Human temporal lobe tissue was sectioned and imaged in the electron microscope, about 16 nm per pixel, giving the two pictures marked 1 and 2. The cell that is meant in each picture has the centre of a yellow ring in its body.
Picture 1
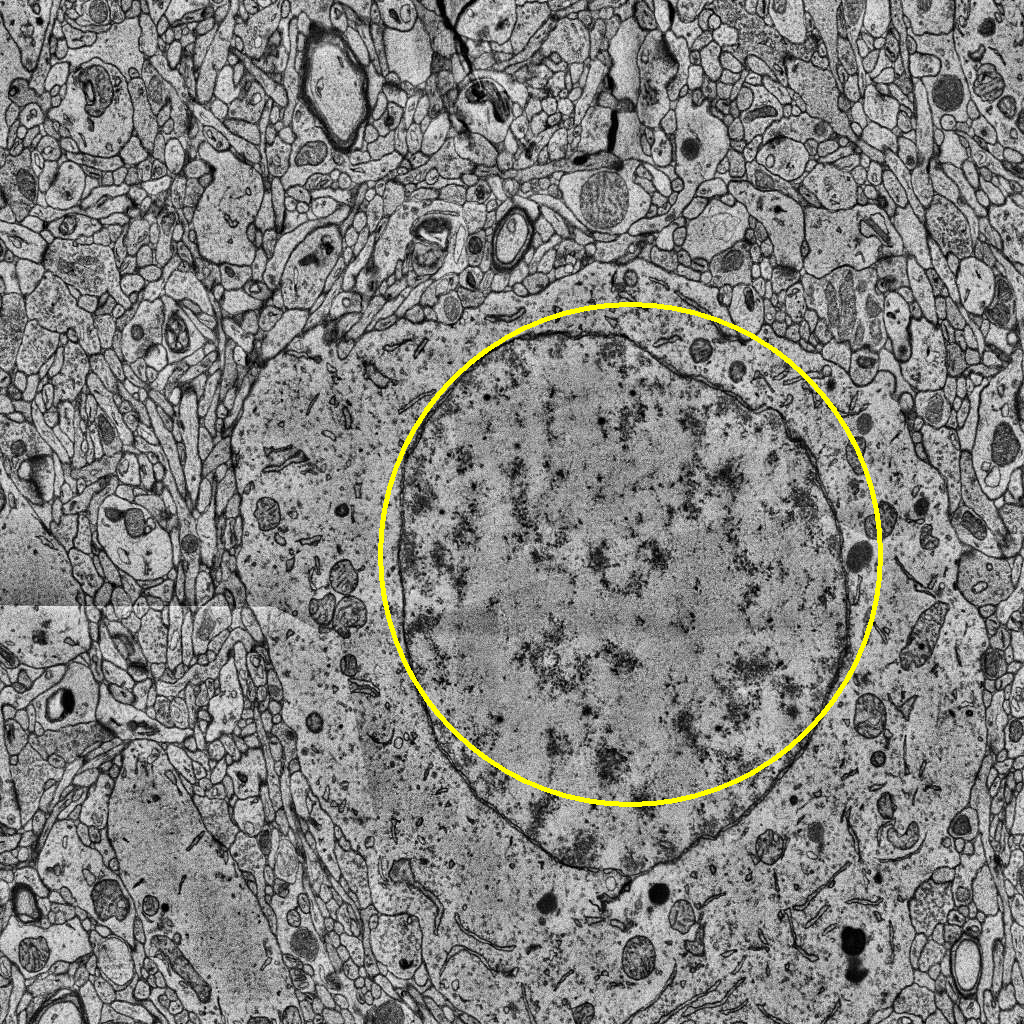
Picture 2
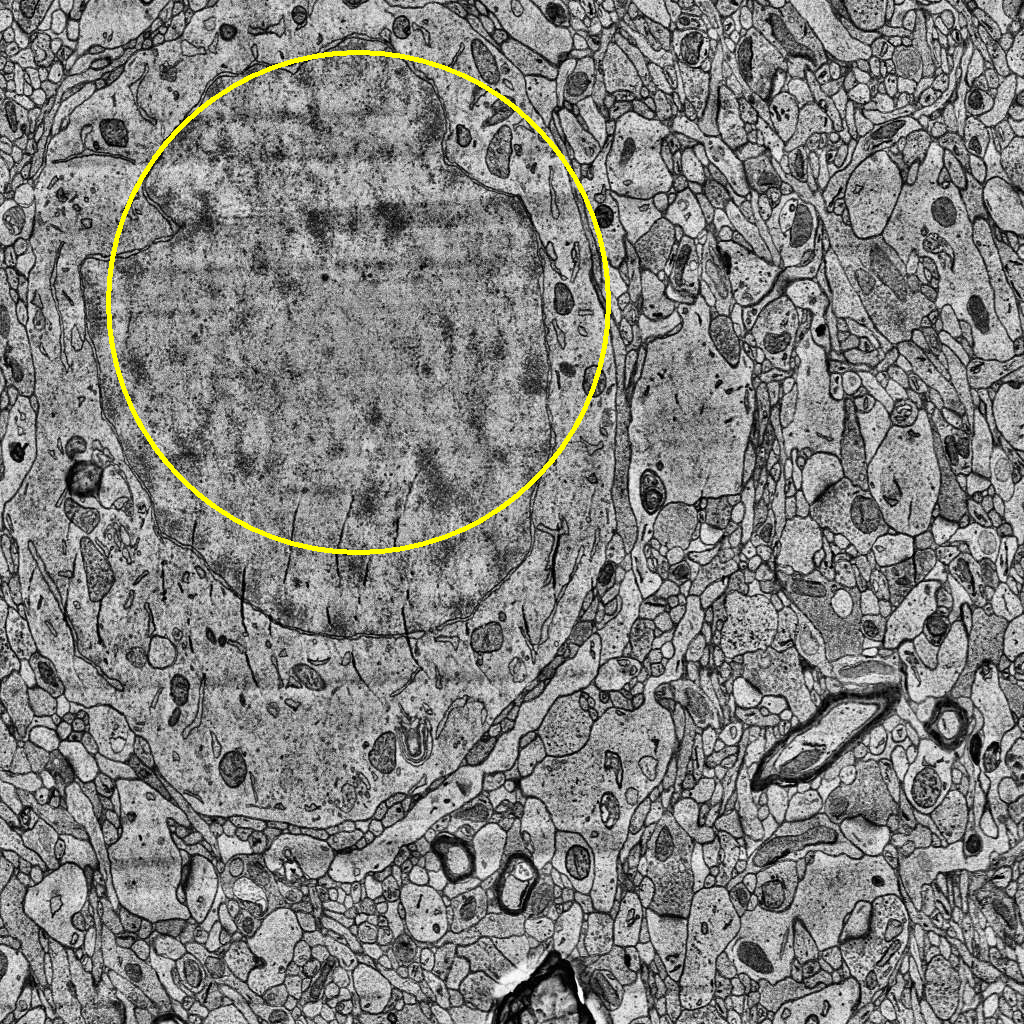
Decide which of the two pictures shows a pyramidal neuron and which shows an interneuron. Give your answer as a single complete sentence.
Picture 2 shows an interneuron, while picture 1 shows a pyramidal neuron.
